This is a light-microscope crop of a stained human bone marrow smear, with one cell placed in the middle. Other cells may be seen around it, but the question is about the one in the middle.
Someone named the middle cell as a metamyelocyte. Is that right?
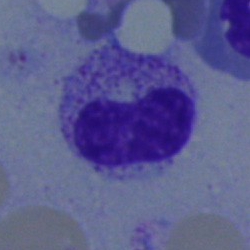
yes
